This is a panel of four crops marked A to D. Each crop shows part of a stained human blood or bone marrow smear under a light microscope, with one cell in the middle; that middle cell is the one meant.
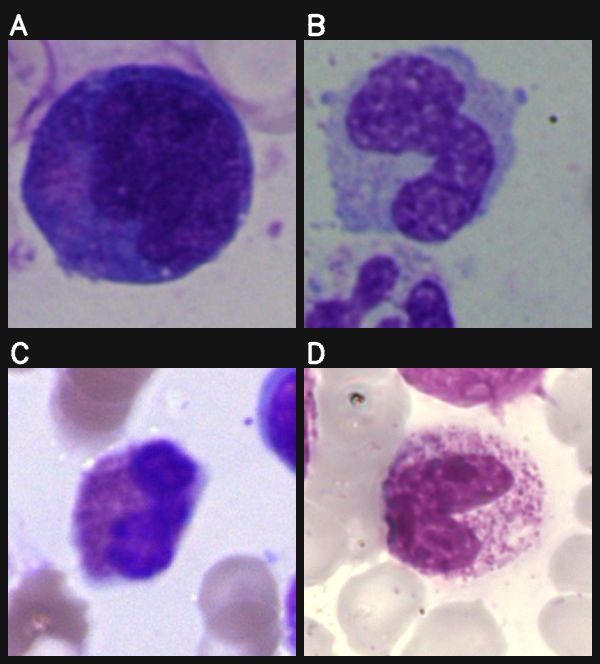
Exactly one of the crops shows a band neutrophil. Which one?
D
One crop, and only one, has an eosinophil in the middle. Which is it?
C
